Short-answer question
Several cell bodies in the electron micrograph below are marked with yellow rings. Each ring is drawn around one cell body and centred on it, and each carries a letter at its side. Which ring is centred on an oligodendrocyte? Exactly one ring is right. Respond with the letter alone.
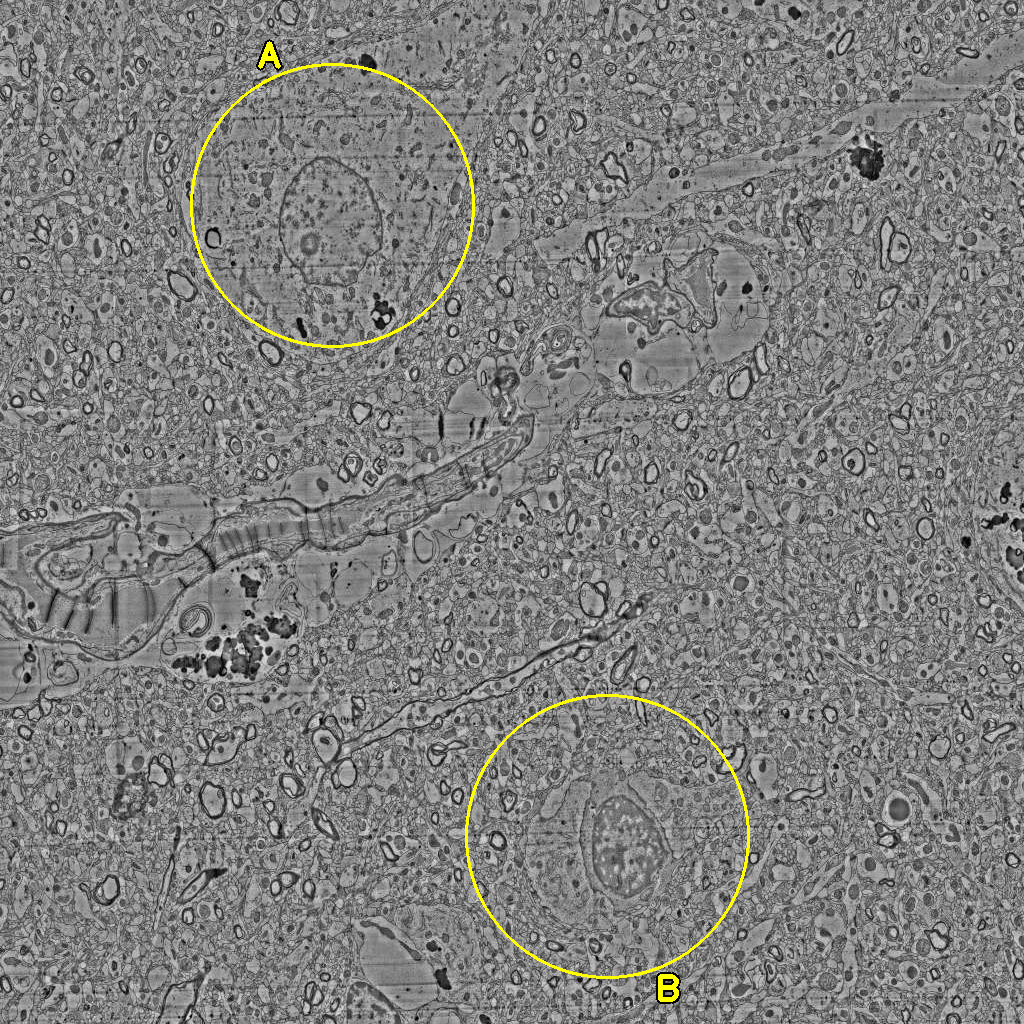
B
